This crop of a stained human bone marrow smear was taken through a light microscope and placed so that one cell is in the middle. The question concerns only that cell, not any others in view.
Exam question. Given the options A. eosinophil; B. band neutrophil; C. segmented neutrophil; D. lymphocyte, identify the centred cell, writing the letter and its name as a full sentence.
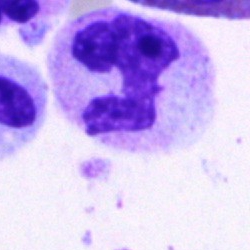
Option C gets it right: the cell in the middle is a segmented neutrophil.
